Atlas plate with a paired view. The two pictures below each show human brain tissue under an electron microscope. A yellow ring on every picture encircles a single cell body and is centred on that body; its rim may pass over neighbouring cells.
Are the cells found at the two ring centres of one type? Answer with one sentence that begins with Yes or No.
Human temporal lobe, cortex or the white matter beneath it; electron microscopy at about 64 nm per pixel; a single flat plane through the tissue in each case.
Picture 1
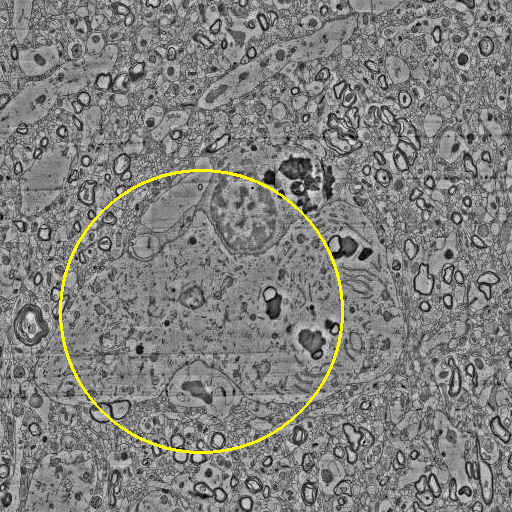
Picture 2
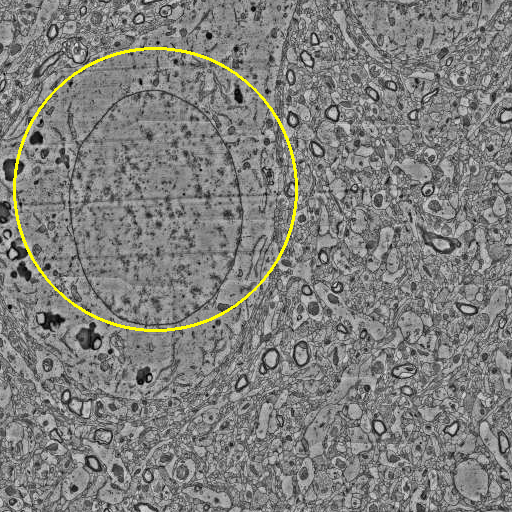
No, the two cells lying at the centres of the rings are of two types.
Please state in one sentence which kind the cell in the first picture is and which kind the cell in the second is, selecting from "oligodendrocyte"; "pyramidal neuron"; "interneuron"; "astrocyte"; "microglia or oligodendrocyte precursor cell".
The first ringed cell is a microglial cell or oligodendrocyte precursor cell, the second ringed cell a pyramidal neuron.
